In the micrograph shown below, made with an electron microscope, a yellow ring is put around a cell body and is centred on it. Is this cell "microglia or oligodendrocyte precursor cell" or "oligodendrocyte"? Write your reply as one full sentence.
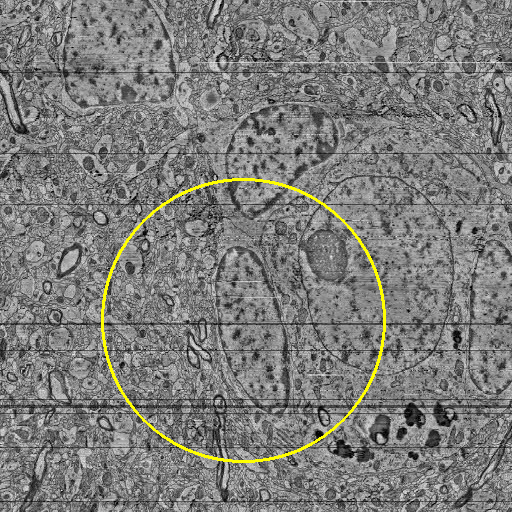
In the micrograph, a microglial cell or oligodendrocyte precursor cell is the cell at the centre of the yellow ring.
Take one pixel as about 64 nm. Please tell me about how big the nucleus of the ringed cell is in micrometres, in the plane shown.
The nucleus comes to approximately 11 by 4 micrometres and is clearly longer than it is wide in this plane.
